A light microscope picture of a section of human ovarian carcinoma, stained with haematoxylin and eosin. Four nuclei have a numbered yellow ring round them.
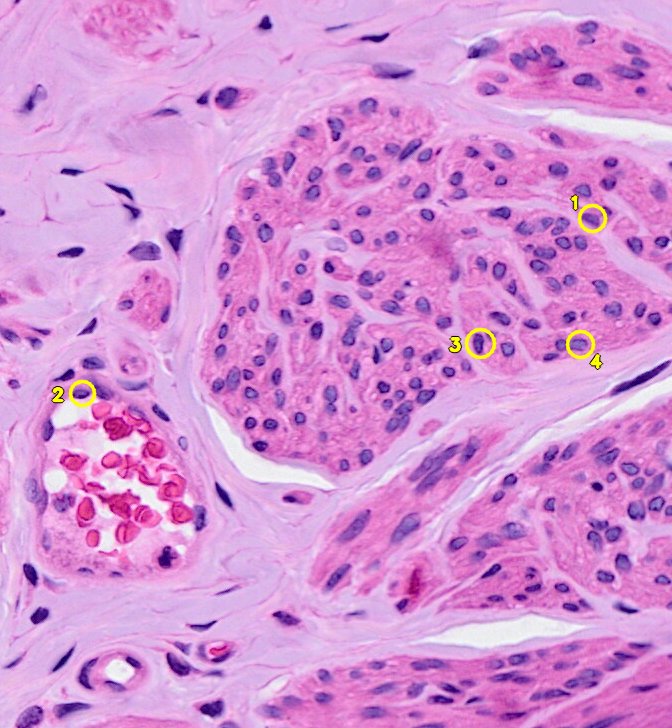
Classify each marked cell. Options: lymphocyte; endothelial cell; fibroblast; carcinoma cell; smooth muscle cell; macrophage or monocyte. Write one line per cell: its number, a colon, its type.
1: smooth muscle cell
2: endothelial cell
3: smooth muscle cell
4: smooth muscle cell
